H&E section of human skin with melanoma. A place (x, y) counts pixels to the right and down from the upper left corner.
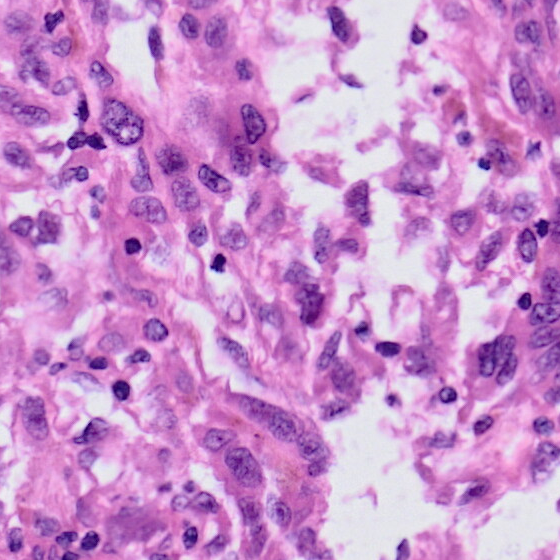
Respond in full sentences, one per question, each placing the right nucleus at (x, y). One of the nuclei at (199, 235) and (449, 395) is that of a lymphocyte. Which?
The nucleus at (449, 395) is the one that belongs to a lymphocyte.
